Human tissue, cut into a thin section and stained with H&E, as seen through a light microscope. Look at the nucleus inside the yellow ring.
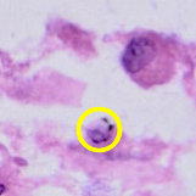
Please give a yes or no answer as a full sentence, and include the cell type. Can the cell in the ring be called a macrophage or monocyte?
Yes, the cell in the ring is one that is classed as a macrophage or monocyte.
